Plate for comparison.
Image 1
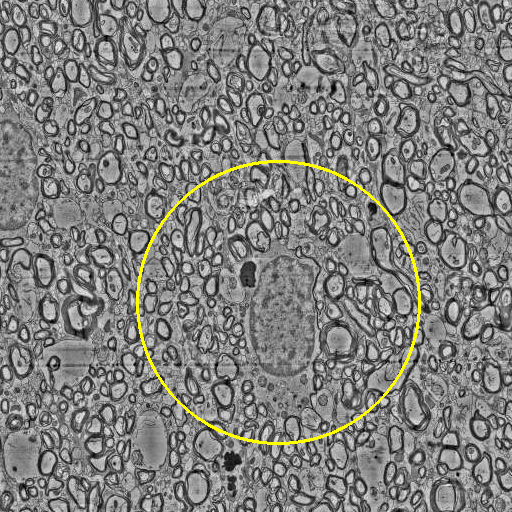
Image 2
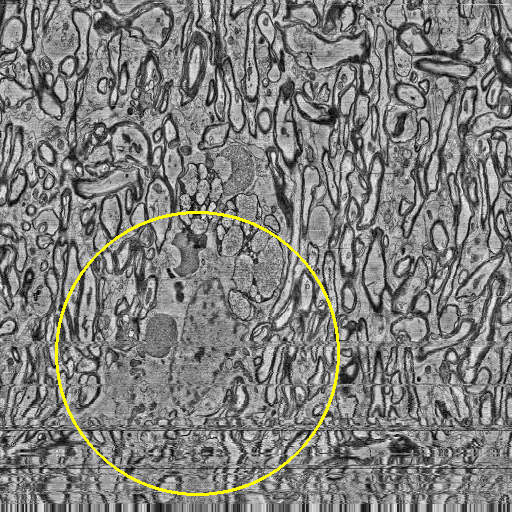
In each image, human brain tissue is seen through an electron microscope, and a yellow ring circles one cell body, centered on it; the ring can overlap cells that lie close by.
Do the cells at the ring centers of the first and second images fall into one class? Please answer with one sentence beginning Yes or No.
No, the first and second images show two classes of cell at the ring centers.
